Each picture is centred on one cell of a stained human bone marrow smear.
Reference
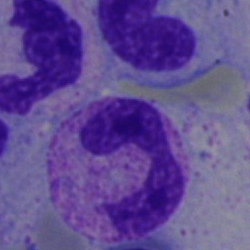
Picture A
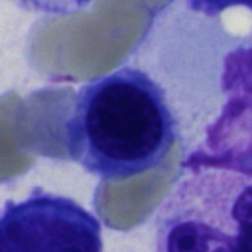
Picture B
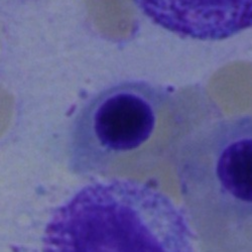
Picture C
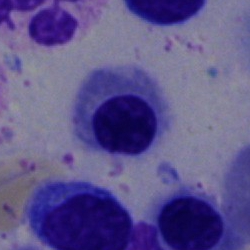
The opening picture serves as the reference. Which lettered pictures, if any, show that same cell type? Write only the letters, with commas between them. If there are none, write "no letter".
no letter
